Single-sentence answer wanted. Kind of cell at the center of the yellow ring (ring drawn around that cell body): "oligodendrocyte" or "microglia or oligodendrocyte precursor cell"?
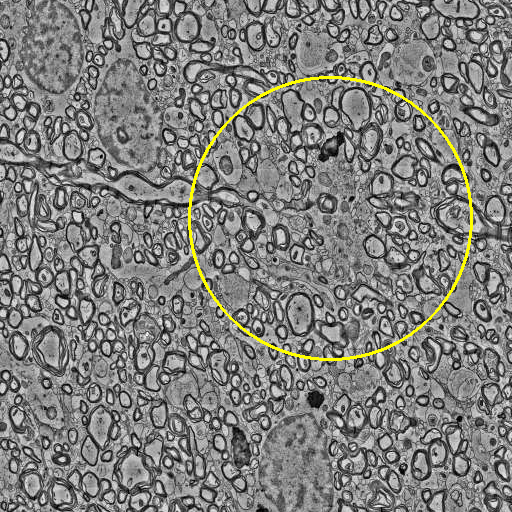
The cell centered in the ring is an oligodendrocyte.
